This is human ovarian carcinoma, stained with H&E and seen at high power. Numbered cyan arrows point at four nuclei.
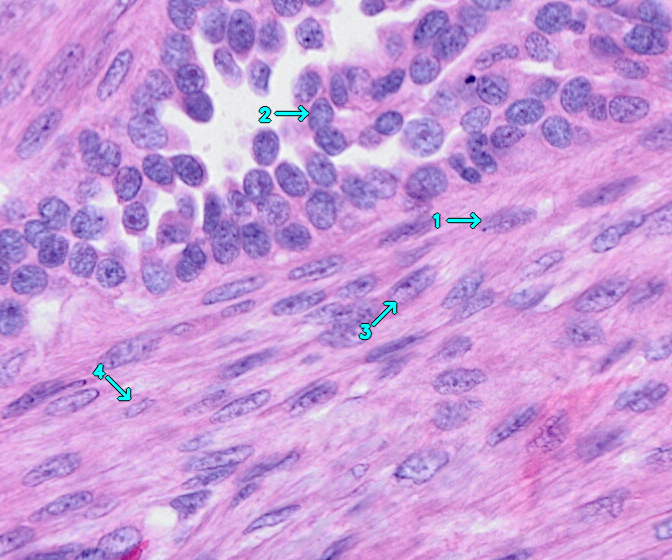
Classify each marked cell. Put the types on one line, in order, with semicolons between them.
fibroblast; carcinoma cell; fibroblast; fibroblast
